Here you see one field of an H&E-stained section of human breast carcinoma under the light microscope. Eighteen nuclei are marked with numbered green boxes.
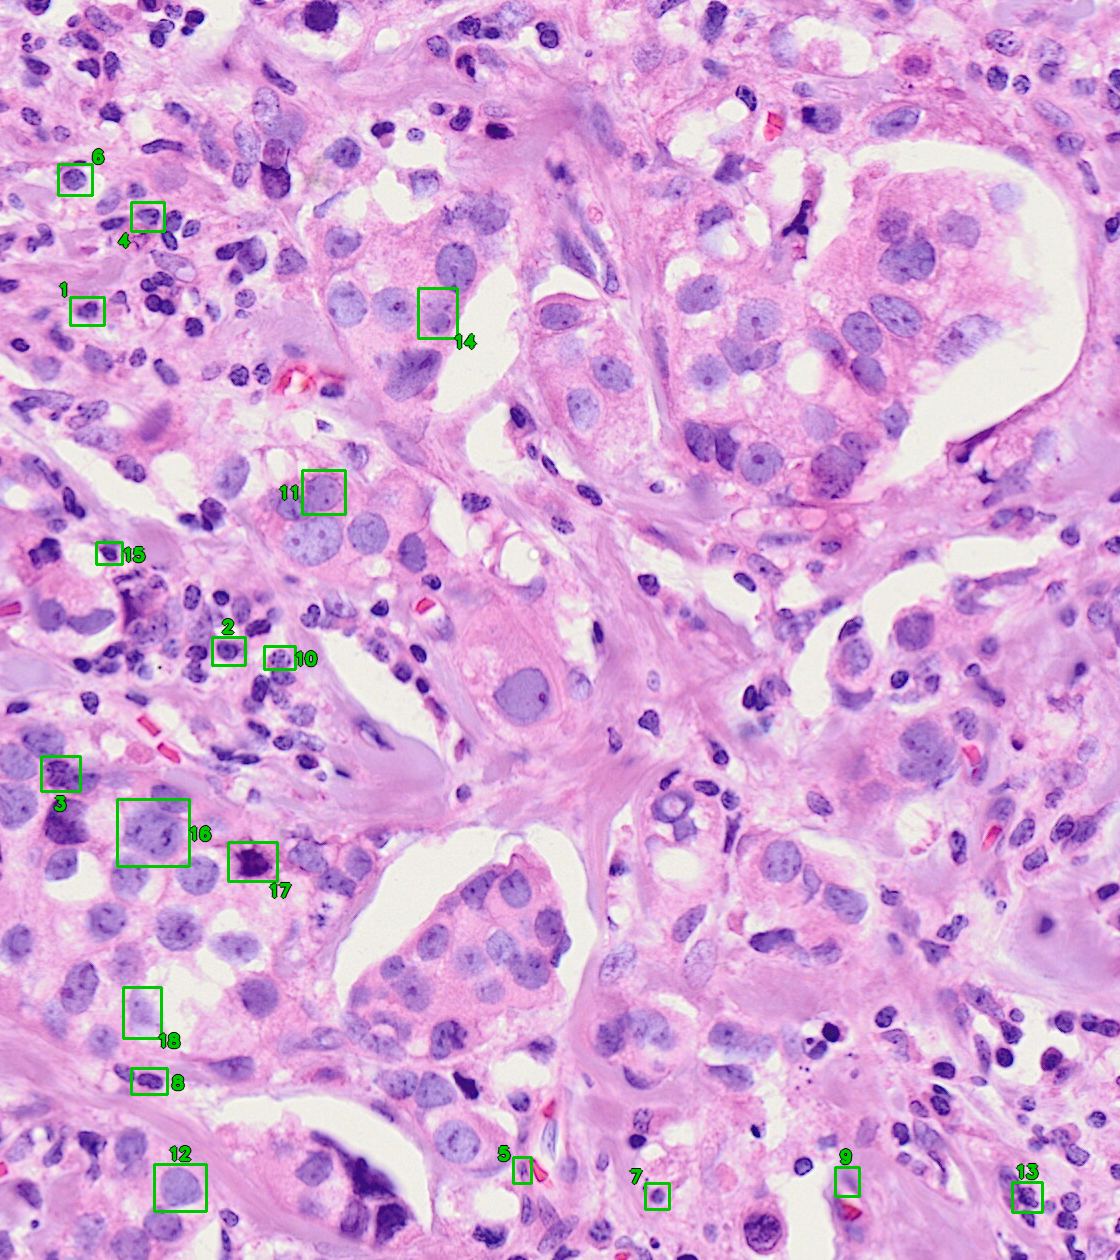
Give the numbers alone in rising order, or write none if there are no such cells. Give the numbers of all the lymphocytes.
1, 2, 4, 6, 7, 8, 10, 13, 15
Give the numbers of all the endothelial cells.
5, 9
